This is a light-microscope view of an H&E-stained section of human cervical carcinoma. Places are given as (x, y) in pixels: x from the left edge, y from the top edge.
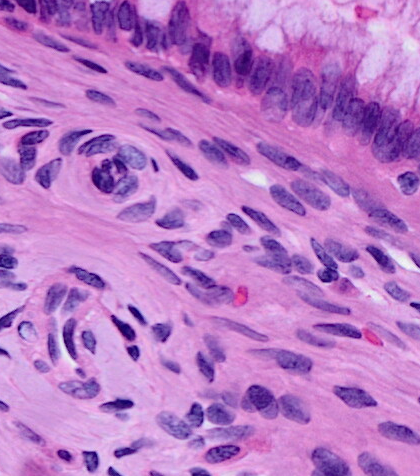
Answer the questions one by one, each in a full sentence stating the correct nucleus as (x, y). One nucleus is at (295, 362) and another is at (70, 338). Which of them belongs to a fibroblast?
The nucleus contained in a fibroblast is the one at (295, 362).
